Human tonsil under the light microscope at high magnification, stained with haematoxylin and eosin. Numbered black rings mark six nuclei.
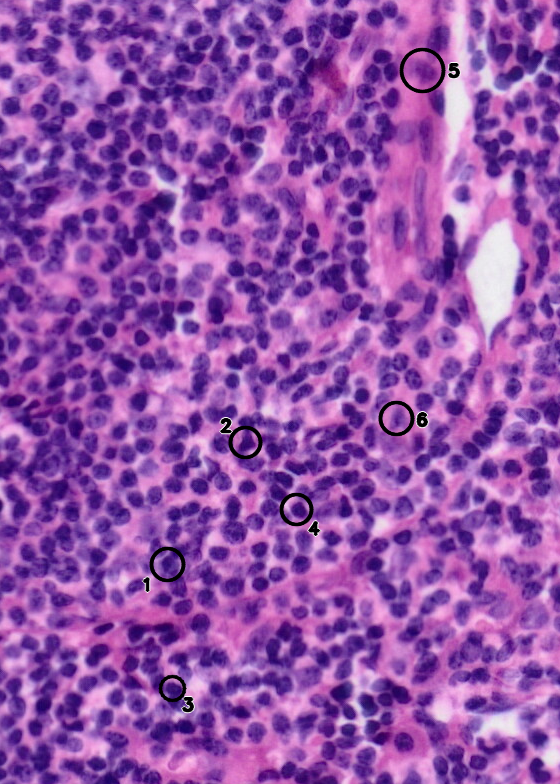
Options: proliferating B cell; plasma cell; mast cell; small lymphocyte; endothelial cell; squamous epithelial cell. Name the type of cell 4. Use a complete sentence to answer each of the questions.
The cell assigned the number 4 is a small lymphocyte.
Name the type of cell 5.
Within this field of view, the cell labelled 5 is an endothelial cell.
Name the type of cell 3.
The cell indicated by marker 3 is a small lymphocyte in this section.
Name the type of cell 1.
The cell pointed out by number 1 is a small lymphocyte.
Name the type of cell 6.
The cell carrying label 6 is identified as an endothelial cell.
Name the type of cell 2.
The cell assigned the number 2 is a small lymphocyte.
